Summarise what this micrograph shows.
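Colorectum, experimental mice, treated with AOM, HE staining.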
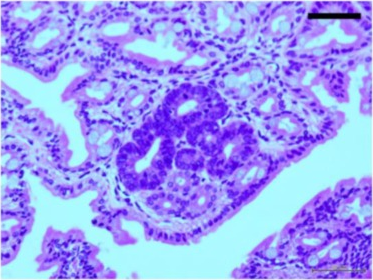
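This is colonic mucosa with a focus of atypical crypts in the centre, surrounded by crypts of more ordinary appearance. The atypical crypts form a compact cluster of small glands lined by crowded cells with dark, hyperchromatic nuclei and purple, basophilic cytoplasm, so that the cluster stands out much darker than its surroundings. The neighbouring crypts are paler, with lighter cytoplasm and goblet-like cells, and loose pink stroma with scattered nuclei lies between the glands. An open lumen borders the mucosa at the lower left.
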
